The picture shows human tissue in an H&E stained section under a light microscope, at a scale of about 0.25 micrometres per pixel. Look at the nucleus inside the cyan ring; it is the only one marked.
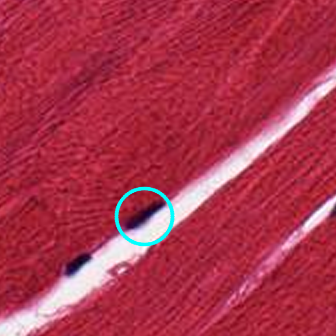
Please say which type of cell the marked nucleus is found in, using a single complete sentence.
Marked in this picture is the nucleus of a skeletal muscle fibre.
